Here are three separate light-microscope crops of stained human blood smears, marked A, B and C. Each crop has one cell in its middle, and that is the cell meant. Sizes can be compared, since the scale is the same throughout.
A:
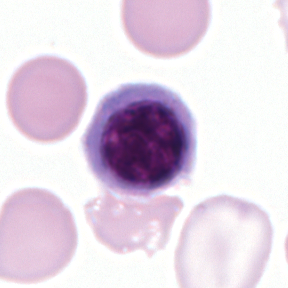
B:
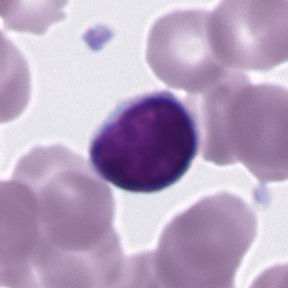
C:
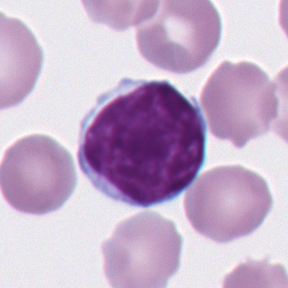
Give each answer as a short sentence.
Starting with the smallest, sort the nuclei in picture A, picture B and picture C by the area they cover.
Going up, they run A, B, C.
